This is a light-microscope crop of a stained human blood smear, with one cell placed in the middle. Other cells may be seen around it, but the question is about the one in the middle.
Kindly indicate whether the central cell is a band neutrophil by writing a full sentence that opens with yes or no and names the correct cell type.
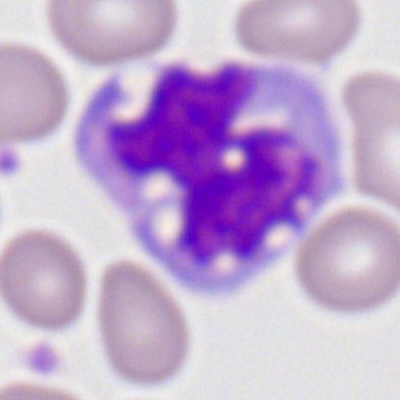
No, in the middle of the crop there is a monocyte rather than a band neutrophil.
